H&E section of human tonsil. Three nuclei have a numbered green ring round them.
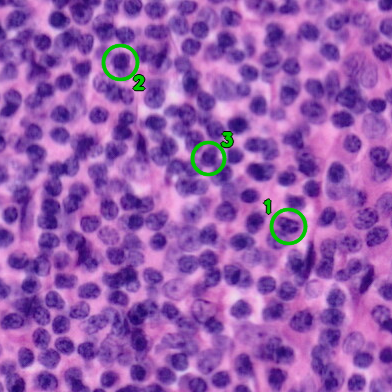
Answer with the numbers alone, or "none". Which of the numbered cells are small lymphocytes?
2, 3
